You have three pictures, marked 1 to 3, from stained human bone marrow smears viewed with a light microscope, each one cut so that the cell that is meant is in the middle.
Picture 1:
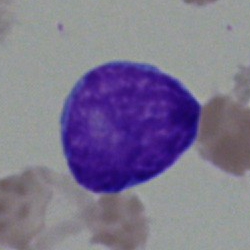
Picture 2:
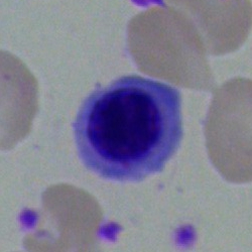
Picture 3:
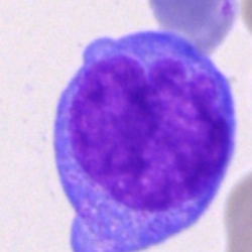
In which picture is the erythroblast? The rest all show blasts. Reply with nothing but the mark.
2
